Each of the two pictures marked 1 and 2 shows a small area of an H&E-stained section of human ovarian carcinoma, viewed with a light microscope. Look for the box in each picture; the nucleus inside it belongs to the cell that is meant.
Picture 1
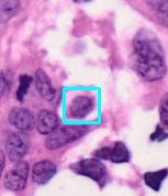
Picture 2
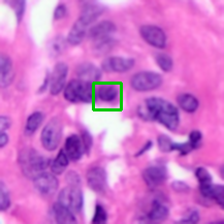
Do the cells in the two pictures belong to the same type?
yes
